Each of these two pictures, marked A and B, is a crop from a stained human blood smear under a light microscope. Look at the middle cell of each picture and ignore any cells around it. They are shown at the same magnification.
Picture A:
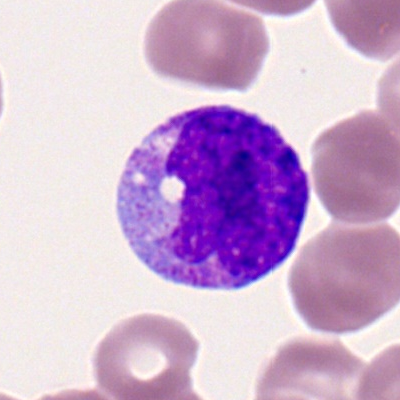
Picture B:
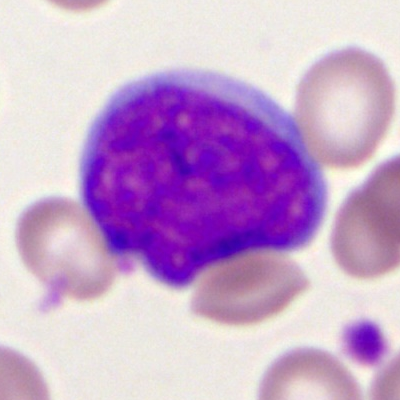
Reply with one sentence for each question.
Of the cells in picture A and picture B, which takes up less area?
The cell in picture A is smaller; the one in picture B has about 1.5 times its area.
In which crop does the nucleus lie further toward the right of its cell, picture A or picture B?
It is the nucleus in picture A that lies further toward the right of its cell.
